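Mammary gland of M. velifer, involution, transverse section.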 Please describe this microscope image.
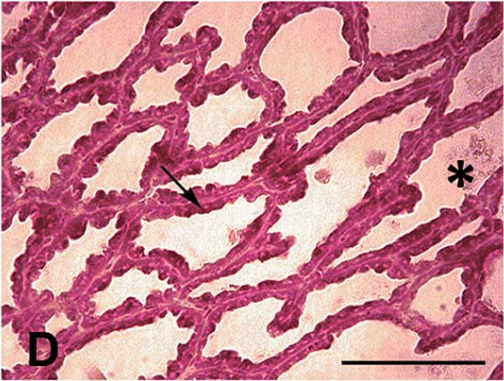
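The walls are made of epithelial alveolar cells whose dark purple nuclei bulge along their edges, giving them a beaded outline. The spaces between the walls are pale pink and largely empty, holding only a few scattered small clumps of material. The walls run as elongated, interconnected strands rather than forming rounded alveoli.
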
